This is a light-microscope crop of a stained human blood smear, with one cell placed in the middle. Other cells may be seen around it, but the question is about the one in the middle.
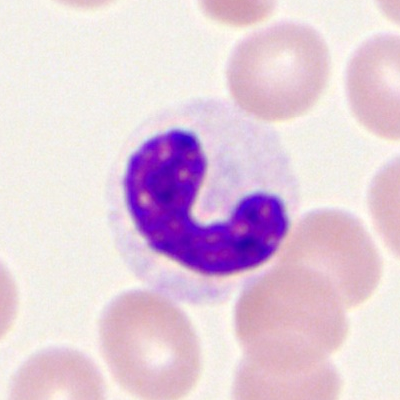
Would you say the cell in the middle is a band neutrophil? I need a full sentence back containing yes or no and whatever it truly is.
Yes, the cell lying in the centre of the crop is identified as a band neutrophil.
